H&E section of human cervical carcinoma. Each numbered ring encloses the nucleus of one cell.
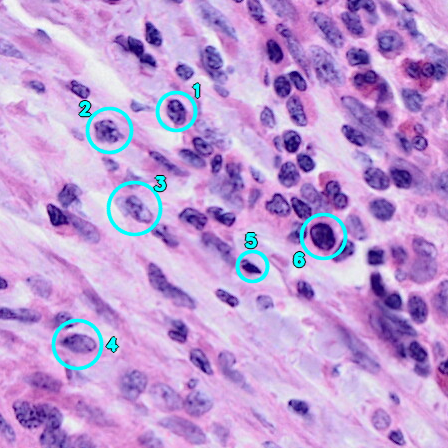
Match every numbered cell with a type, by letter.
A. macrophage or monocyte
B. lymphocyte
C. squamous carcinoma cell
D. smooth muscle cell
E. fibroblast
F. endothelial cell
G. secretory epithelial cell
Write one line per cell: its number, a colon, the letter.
1: B
2: B
3: A
4: A
5: B
6: B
